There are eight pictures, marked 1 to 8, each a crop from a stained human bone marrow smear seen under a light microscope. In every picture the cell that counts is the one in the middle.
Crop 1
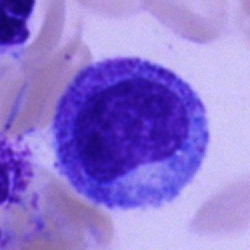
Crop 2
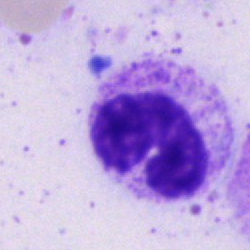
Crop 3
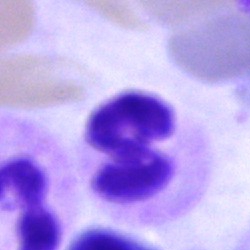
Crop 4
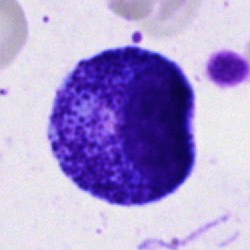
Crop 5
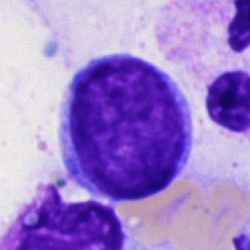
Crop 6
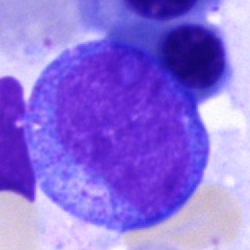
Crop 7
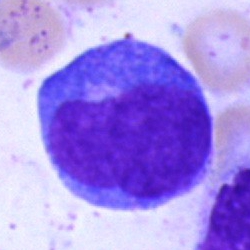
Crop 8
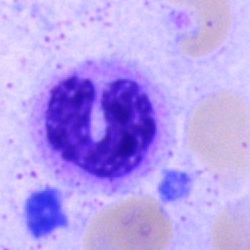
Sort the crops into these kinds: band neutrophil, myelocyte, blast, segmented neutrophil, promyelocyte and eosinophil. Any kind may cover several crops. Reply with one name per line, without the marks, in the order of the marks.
promyelocyte
band neutrophil
segmented neutrophil
promyelocyte
blast
promyelocyte
blast
band neutrophil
